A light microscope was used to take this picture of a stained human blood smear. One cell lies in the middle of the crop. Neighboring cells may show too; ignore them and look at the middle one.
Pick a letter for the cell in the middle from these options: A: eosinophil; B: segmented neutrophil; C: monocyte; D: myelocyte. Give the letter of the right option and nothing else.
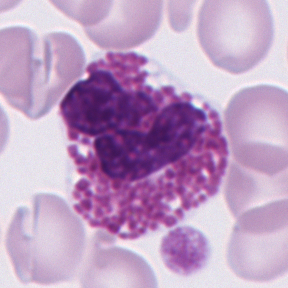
A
